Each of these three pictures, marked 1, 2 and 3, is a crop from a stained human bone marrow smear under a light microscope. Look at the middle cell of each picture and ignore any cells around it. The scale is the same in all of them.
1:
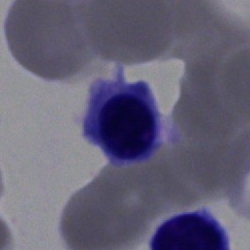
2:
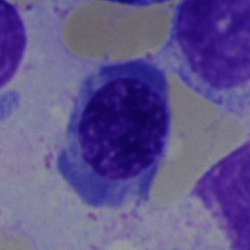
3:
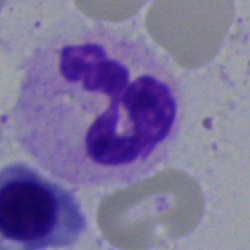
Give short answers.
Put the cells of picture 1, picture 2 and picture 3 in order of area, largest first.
3, 2, 1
